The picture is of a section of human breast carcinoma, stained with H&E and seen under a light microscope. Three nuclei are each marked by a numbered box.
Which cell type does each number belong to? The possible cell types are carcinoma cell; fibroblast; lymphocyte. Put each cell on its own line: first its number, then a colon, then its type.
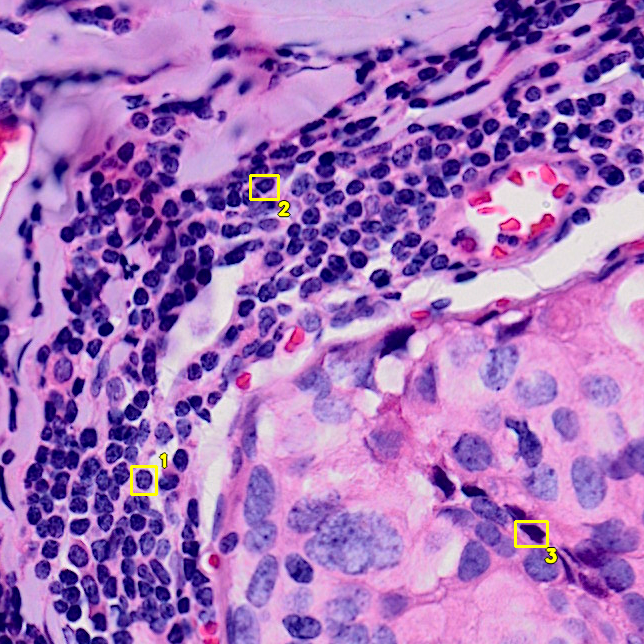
1: lymphocyte
2: lymphocyte
3: carcinoma cell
